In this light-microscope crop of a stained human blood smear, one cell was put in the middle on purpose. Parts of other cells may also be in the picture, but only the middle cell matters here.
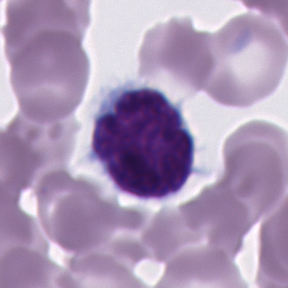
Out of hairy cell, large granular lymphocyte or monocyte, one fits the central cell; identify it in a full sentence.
The crop shows a hairy cell in its centre.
